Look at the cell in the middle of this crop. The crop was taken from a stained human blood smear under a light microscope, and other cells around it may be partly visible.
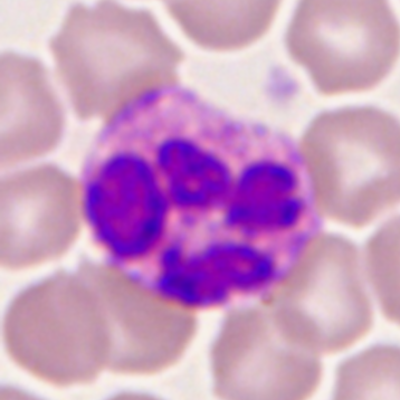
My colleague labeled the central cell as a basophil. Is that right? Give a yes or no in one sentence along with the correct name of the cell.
Yes, the cell of interest in the middle is a basophil.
